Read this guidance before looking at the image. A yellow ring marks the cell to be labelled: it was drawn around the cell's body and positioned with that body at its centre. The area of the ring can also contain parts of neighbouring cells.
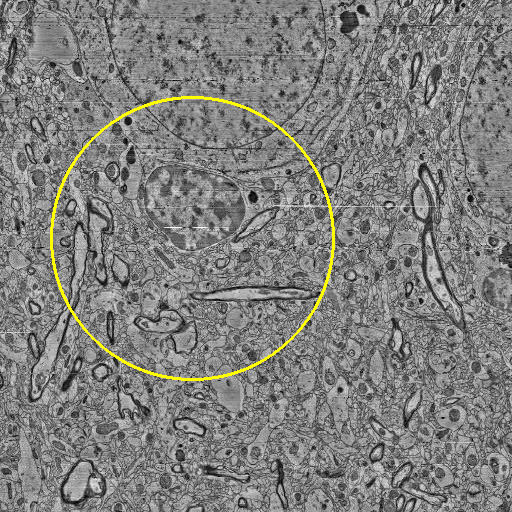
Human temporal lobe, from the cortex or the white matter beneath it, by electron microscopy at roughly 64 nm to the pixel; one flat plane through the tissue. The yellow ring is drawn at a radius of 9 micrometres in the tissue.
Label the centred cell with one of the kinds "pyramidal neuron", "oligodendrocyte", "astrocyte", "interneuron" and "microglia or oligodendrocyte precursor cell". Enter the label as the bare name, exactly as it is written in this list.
microglia or oligodendrocyte precursor cell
